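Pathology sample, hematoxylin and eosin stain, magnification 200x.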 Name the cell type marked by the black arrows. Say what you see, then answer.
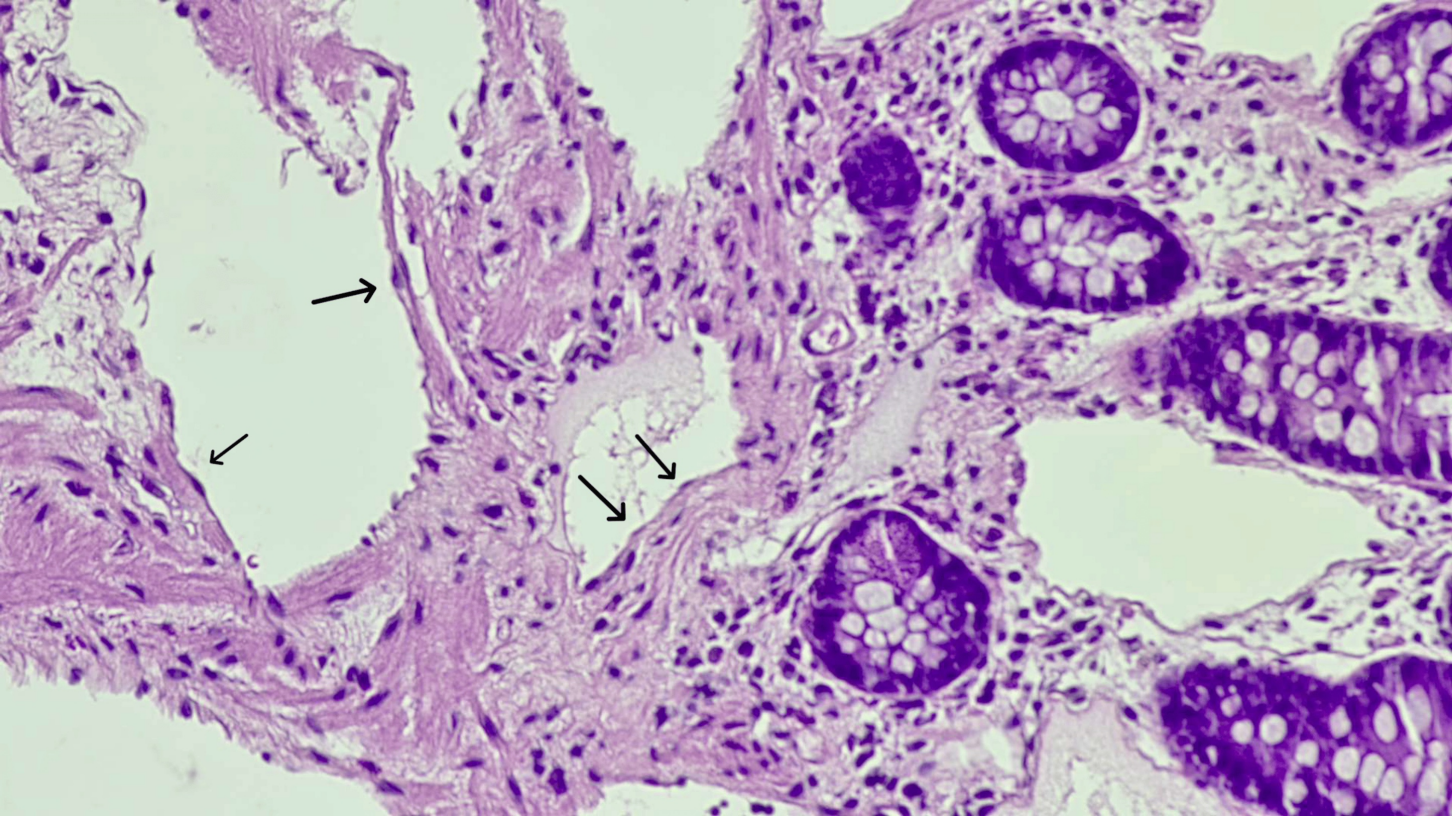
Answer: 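The arrows point at thin, flattened cells with elongated dark nuclei. These cells form a single thin layer at the edge of large empty spaces. The spaces they line contain no red blood cells, only pale wispy material. On this evidence: endothelial cells.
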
